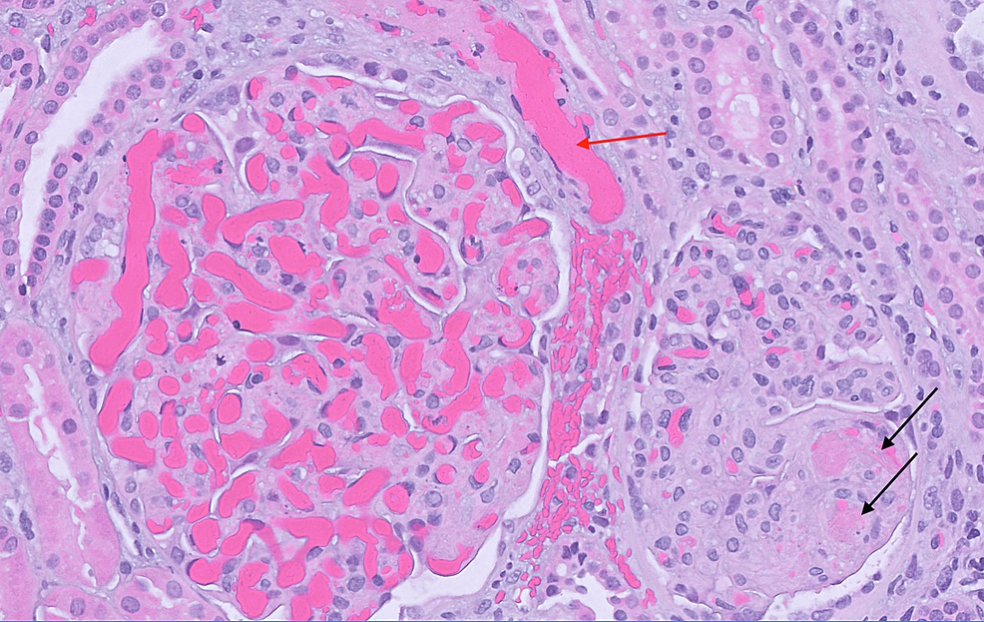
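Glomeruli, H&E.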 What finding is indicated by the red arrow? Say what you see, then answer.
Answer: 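Filled with fibrin and red blood cells. The red arrow points to a small vessel beside the larger glomerulus. The vessel lumen is packed with dense, bright pink material.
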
